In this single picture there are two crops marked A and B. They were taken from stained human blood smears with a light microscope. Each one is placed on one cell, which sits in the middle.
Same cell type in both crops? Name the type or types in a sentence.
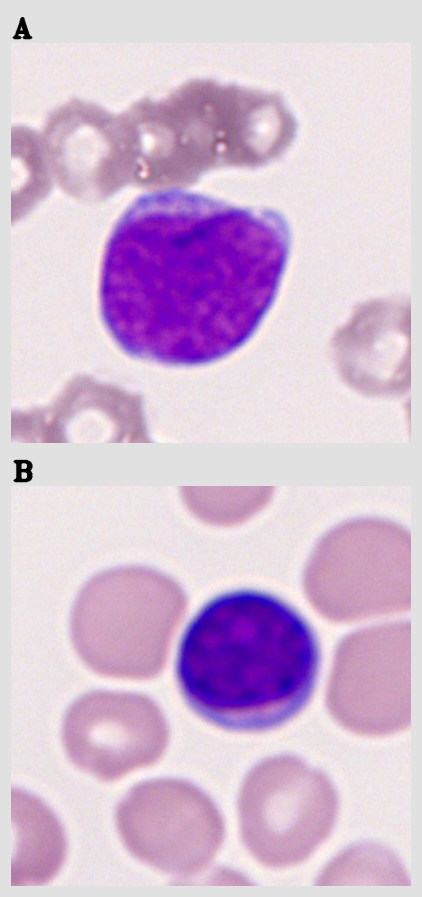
No, for crop A the cell is a myeloblast, and for crop B it is a lymphocyte.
